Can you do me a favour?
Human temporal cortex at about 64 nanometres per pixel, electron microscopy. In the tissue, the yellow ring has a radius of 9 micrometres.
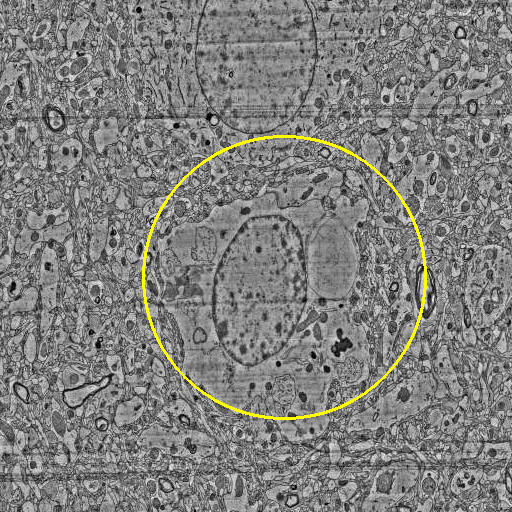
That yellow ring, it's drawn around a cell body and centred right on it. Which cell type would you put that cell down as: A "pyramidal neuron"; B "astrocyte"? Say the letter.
B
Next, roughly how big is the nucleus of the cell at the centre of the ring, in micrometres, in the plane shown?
In this plane the nucleus is clearly longer than it is wide: roughly 10 by 6 micrometres.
